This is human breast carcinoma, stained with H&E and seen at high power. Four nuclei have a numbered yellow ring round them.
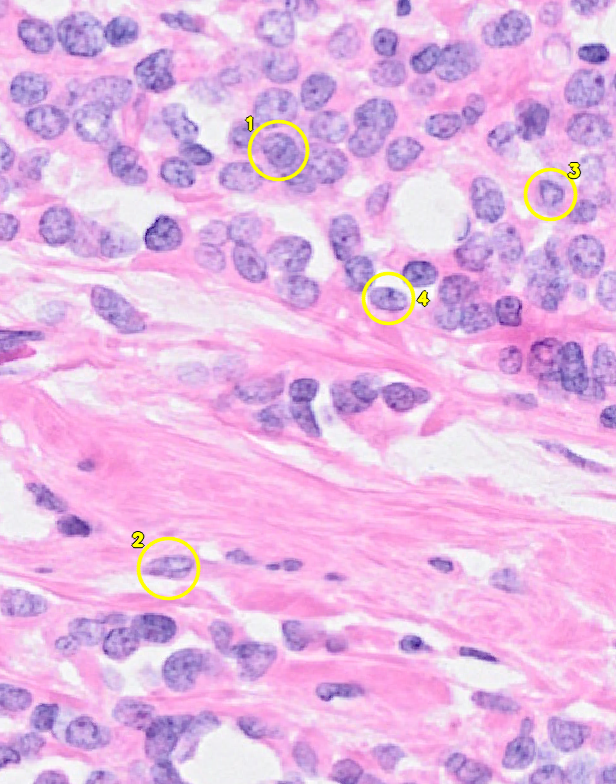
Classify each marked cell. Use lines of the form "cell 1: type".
cell 1: carcinoma cell
cell 2: fibroblast
cell 3: carcinoma cell
cell 4: carcinoma cell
